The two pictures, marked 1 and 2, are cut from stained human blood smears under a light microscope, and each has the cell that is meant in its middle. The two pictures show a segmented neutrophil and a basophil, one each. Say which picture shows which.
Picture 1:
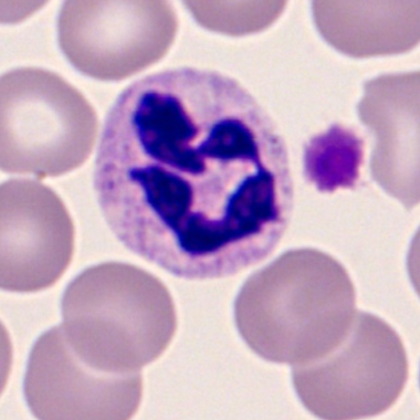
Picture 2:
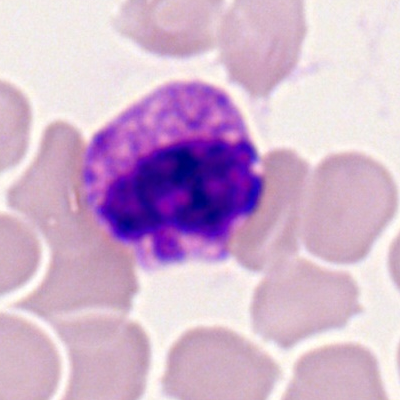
1: segmented neutrophil
2: basophil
